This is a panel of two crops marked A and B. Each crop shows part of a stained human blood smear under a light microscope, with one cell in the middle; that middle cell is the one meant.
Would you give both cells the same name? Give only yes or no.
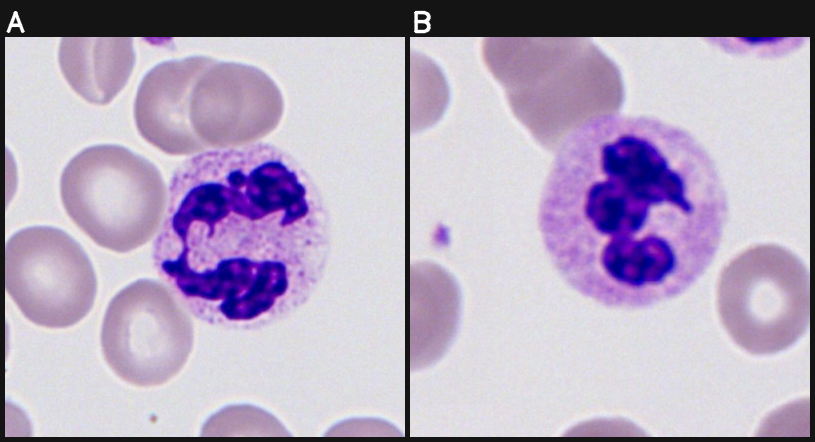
yes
